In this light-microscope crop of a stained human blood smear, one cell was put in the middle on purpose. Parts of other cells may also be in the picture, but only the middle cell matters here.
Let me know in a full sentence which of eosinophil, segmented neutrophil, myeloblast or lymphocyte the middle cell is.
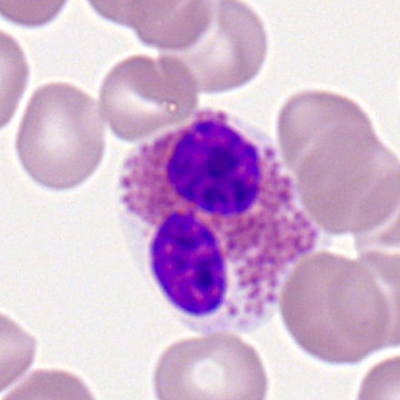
The cell positioned in the middle of the field is an eosinophil.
